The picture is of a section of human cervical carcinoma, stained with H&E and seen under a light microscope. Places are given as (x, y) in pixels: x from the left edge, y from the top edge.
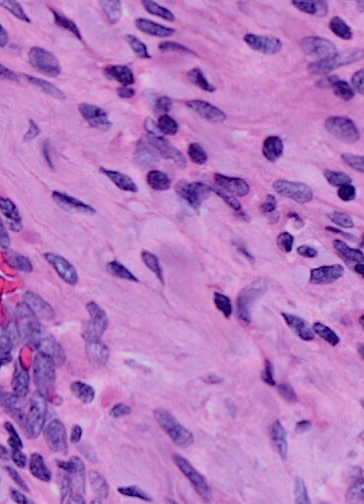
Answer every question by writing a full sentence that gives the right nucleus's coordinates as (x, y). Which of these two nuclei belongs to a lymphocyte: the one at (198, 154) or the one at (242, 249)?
The nucleus at (198, 154) is the member of the pair belonging to a lymphocyte.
